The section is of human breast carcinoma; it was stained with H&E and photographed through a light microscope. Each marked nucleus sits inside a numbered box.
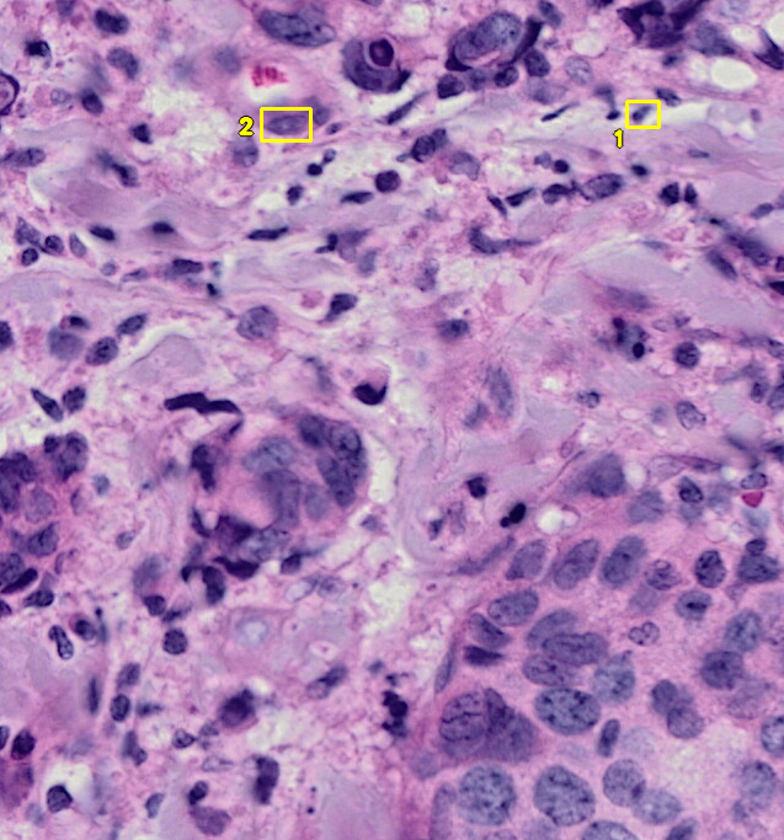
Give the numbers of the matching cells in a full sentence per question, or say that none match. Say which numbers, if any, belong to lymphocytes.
Cell 1 is a lymphocyte, whereas each of the other numbered cells is not.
